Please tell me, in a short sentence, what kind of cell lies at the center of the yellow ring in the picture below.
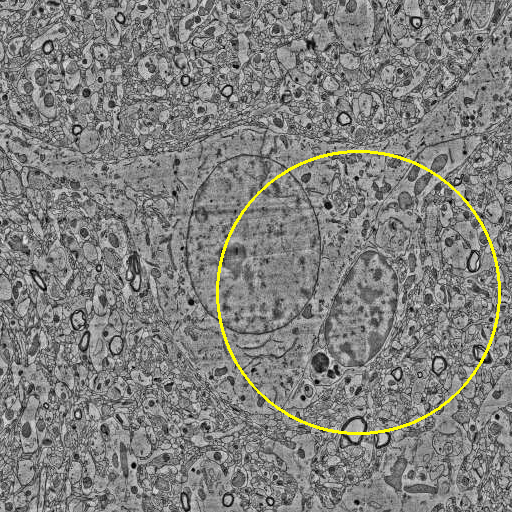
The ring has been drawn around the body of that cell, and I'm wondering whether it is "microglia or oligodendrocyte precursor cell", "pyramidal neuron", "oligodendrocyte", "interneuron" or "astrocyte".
The cell at the center of the ring is a microglial cell or oligodendrocyte precursor cell.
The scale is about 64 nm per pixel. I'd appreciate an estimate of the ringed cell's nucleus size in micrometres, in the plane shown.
The nucleus is approximately 8 micrometres long but only about 4 wide, clearly longer than it is wide in this plane.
